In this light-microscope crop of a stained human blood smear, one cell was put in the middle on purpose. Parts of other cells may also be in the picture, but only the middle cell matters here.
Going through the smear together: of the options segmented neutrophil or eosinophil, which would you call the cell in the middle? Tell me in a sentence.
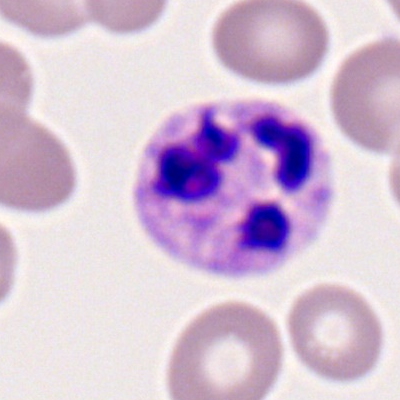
The cell featured at the centre of this crop is a segmented neutrophil.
